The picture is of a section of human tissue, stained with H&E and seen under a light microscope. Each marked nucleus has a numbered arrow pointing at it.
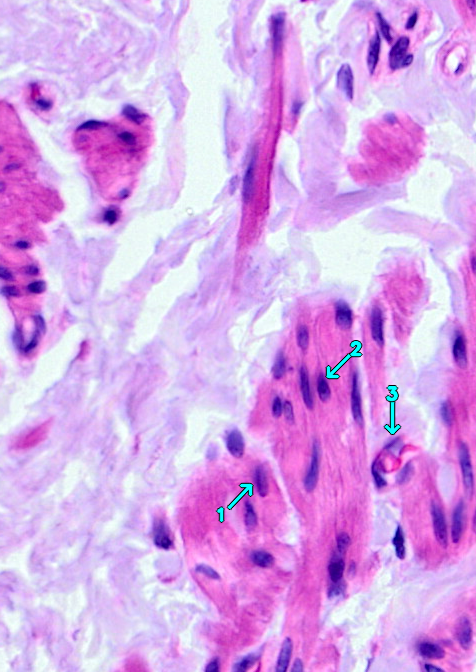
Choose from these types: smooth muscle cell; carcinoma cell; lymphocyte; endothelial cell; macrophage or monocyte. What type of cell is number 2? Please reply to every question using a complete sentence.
Looking at the numbered marks, cell 2 is a smooth muscle cell.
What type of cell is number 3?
Here, the cell given the number 3 is an endothelial cell.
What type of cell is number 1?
Here, the cell given the number 1 is a smooth muscle cell.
